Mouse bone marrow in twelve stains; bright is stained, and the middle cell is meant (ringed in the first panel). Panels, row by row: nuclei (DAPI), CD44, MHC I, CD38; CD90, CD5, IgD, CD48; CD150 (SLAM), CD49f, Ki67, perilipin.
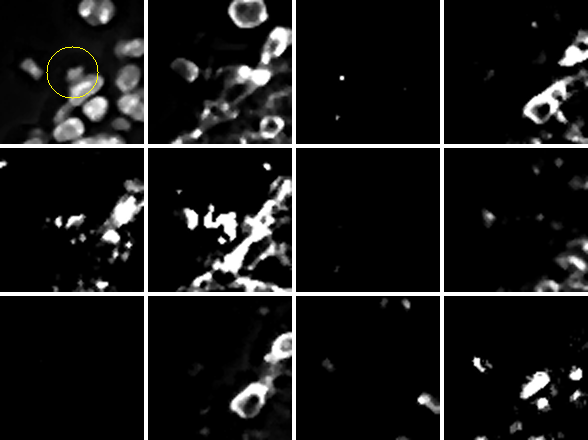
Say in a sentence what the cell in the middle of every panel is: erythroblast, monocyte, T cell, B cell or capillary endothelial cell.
This is a T cell.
